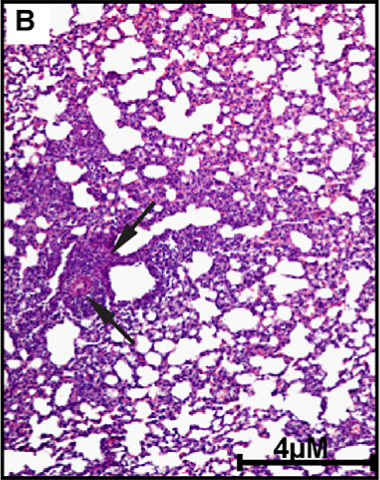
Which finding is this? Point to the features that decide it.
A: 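Inflammatory cell infiltration with large areas of consolidation. Large parts of the tissue are solid and crowded with purple nuclei. Septa are thickened compared with thin alveolar walls elsewhere in the panel.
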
